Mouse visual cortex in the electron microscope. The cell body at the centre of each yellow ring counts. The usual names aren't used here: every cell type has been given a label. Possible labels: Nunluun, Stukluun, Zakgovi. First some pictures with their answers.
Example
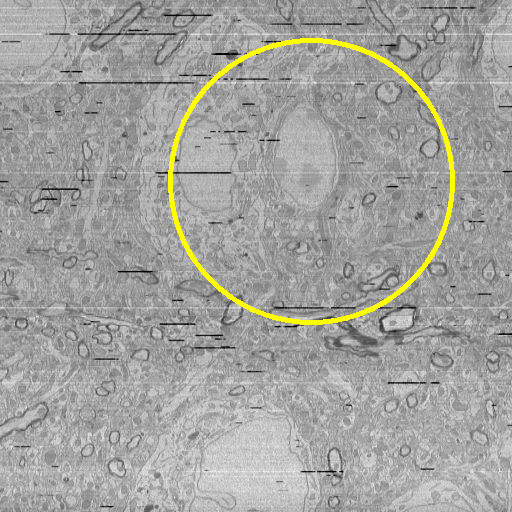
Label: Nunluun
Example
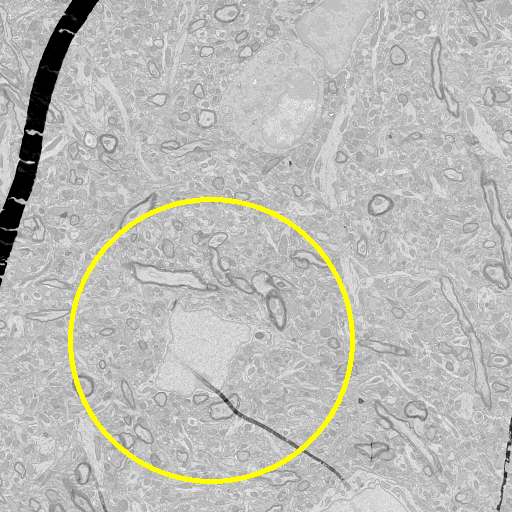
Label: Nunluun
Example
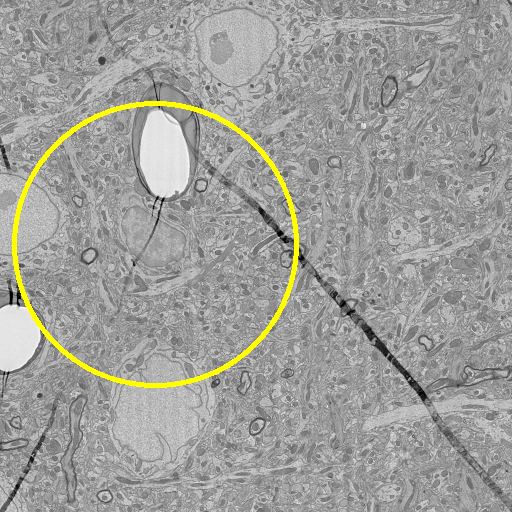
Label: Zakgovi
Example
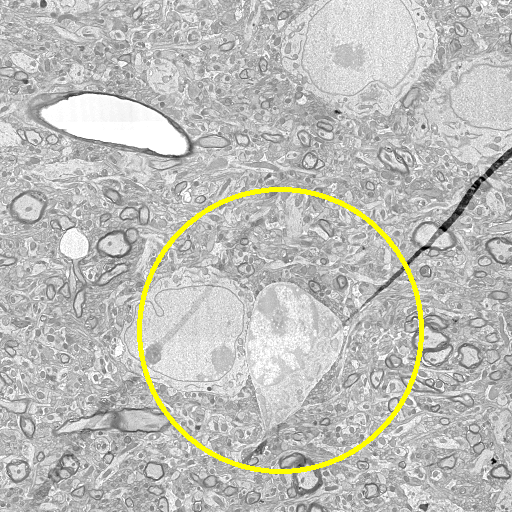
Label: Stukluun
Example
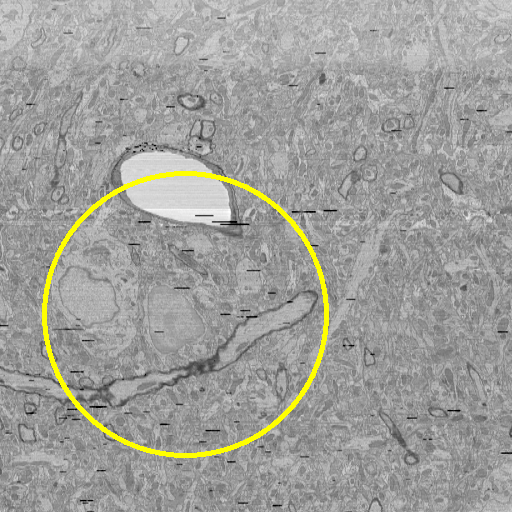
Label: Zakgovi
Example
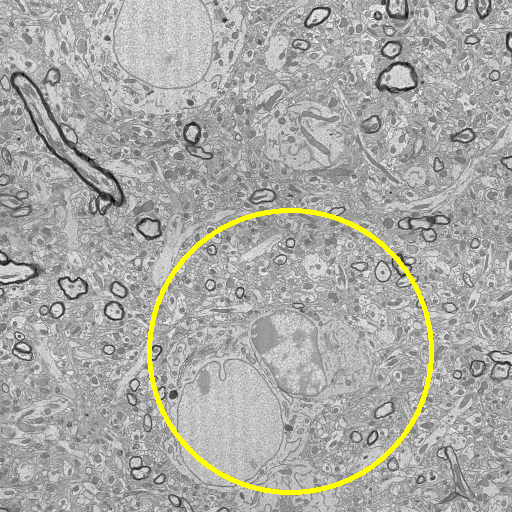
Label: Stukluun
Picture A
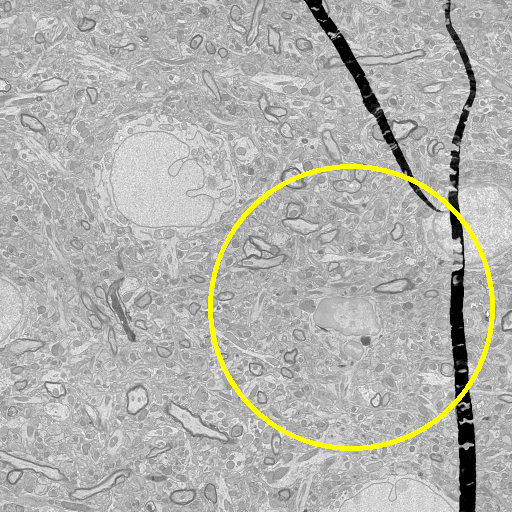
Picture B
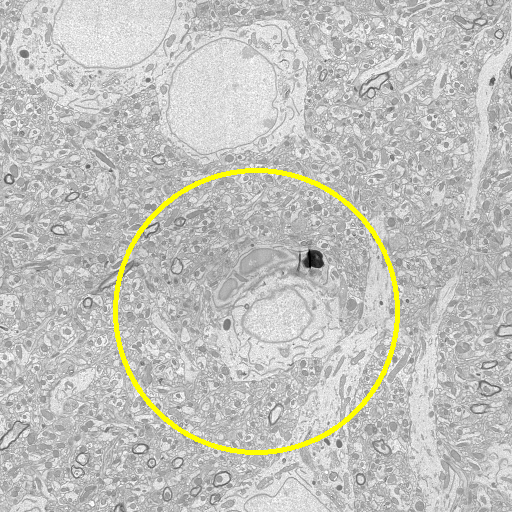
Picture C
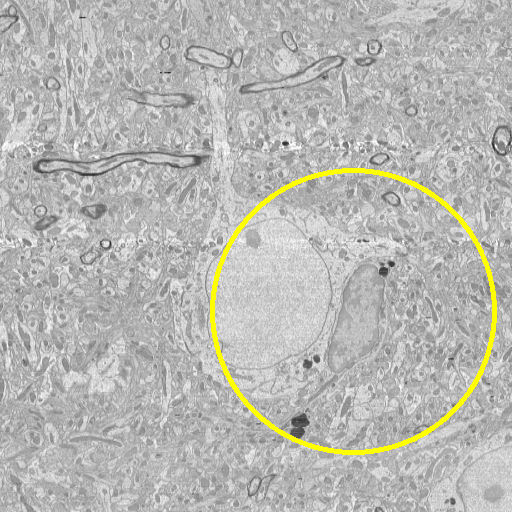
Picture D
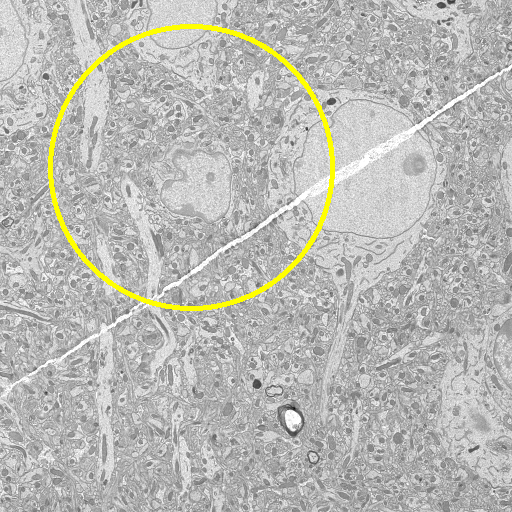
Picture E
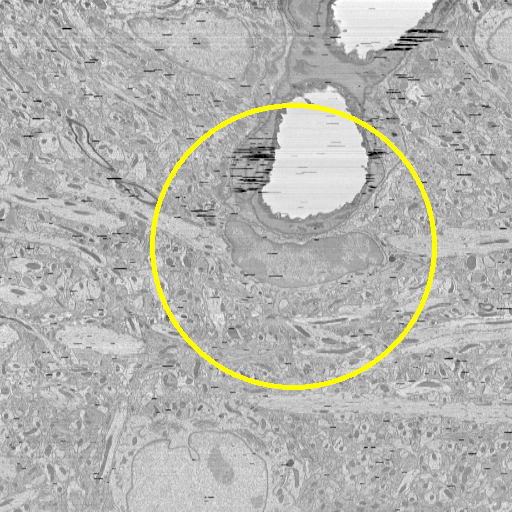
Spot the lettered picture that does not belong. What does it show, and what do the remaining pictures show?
Different: D, Nunluun. Others: Zakgovi.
